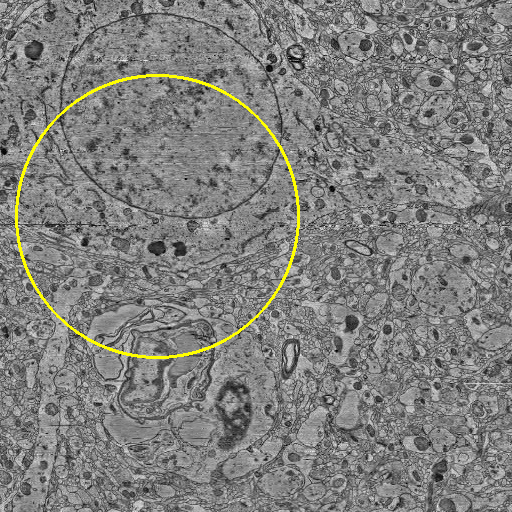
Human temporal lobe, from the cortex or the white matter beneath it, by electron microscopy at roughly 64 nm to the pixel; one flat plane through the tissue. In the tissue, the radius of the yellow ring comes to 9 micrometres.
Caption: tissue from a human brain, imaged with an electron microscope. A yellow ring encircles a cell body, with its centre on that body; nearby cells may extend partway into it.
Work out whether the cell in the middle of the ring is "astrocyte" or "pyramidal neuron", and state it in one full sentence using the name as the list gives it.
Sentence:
In the picture, the cell that the yellow ring surrounds at its centre is a pyramidal neuron.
